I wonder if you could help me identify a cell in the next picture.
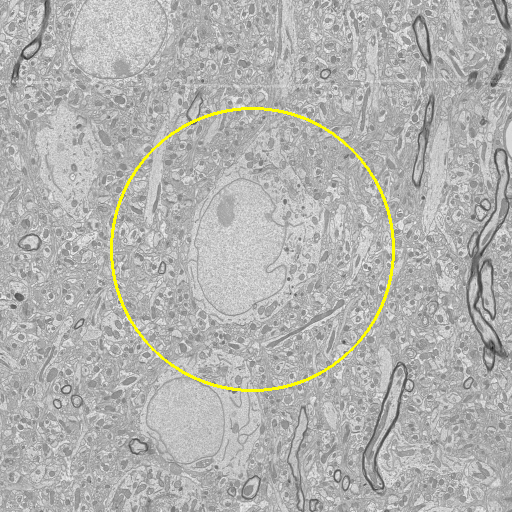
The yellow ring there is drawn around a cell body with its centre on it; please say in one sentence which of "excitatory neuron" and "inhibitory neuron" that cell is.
The yellow ring is centred on an excitatory neuron.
